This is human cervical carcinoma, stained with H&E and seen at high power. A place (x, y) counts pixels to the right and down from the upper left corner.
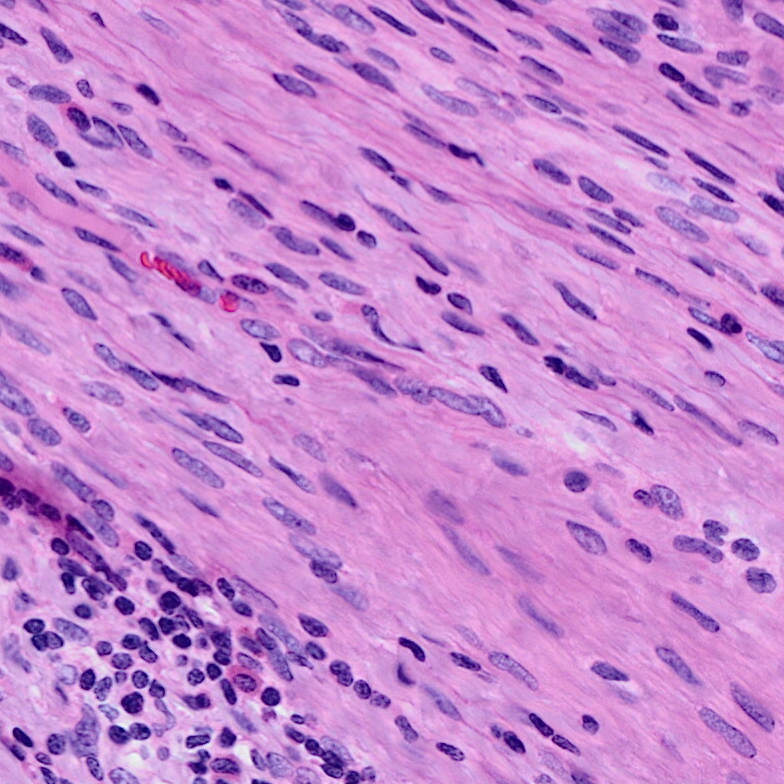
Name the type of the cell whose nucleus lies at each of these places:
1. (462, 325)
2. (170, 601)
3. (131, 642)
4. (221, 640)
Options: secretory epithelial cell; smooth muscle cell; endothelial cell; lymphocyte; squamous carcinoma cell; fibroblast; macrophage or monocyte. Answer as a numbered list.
1. fibroblast
2. lymphocyte
3. lymphocyte
4. lymphocyte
